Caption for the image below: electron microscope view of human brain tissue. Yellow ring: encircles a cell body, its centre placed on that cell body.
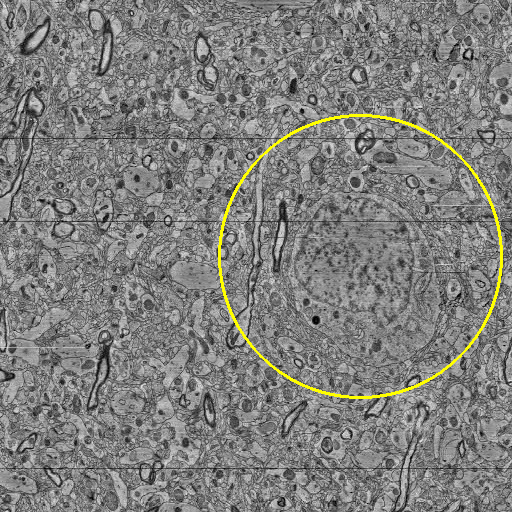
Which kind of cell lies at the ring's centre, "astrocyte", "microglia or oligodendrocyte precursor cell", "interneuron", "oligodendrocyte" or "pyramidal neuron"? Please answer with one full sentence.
The picture shows an interneuron at the centre of the yellow ring.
